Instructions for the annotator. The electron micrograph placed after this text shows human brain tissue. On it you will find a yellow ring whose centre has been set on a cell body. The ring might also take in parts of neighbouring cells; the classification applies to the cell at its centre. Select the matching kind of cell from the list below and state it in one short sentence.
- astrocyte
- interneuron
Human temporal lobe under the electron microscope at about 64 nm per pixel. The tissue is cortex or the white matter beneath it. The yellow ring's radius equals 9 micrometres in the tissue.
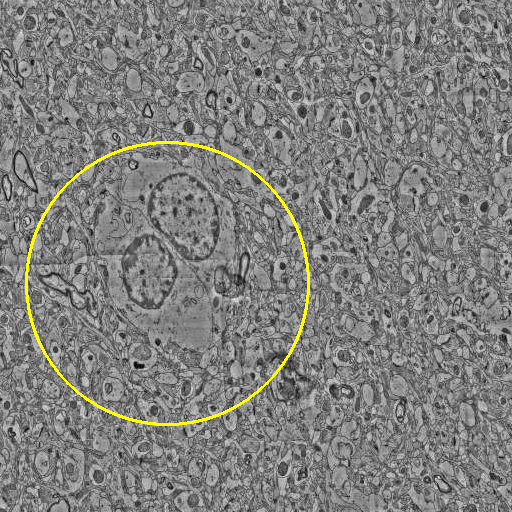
The ring is drawn on the cell body of an astrocyte.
